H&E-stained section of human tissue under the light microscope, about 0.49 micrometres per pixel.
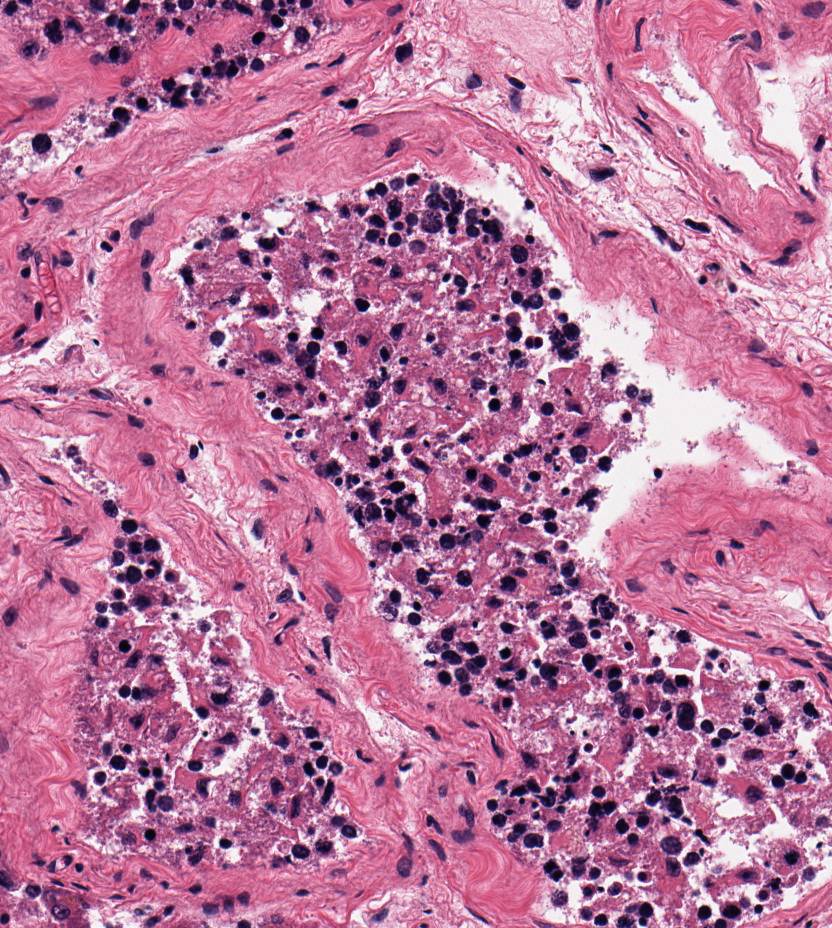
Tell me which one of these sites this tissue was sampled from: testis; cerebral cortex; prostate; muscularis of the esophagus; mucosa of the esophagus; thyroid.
testis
